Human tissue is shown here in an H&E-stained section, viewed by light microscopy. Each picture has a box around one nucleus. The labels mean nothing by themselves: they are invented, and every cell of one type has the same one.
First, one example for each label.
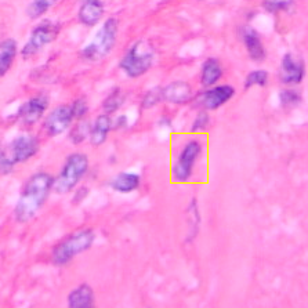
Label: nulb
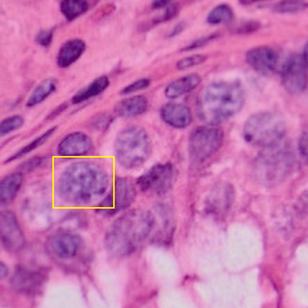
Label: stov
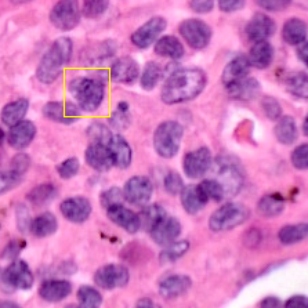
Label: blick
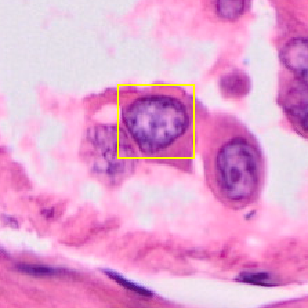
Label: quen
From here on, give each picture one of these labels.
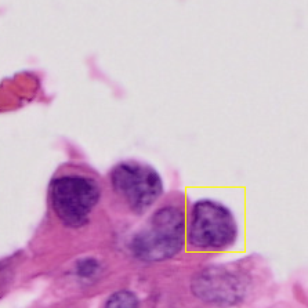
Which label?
quen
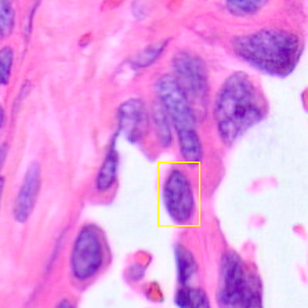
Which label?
quen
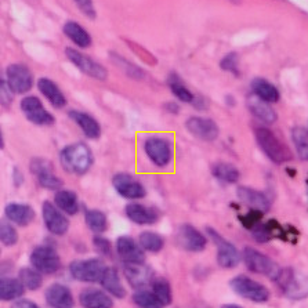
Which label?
nulb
